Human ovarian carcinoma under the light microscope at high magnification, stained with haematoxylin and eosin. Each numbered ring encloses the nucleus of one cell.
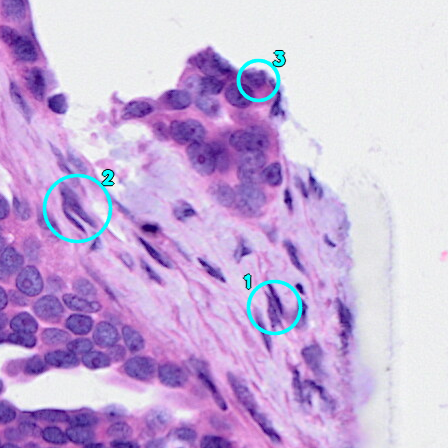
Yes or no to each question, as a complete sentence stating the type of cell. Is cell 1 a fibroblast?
Yes, the cell denoted by 1 is a fibroblast.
